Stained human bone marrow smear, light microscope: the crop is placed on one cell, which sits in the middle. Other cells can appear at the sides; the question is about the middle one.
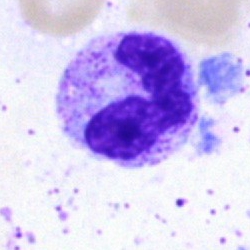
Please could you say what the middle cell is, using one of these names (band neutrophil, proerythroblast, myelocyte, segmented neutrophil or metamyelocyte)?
segmented neutrophil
